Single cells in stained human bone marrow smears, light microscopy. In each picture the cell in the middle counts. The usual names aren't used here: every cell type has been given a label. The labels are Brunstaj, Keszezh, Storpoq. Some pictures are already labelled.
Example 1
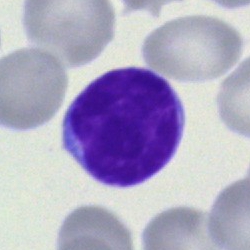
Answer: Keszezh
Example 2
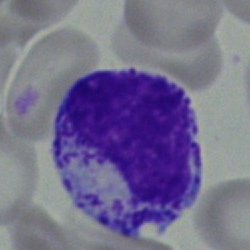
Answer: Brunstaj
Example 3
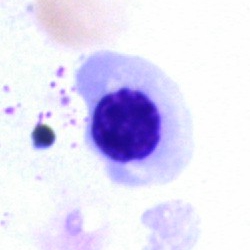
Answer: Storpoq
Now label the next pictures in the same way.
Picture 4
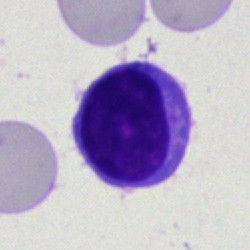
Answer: Keszezh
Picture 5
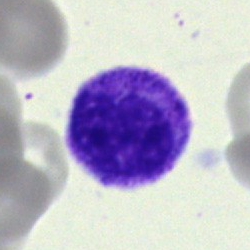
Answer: Brunstaj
